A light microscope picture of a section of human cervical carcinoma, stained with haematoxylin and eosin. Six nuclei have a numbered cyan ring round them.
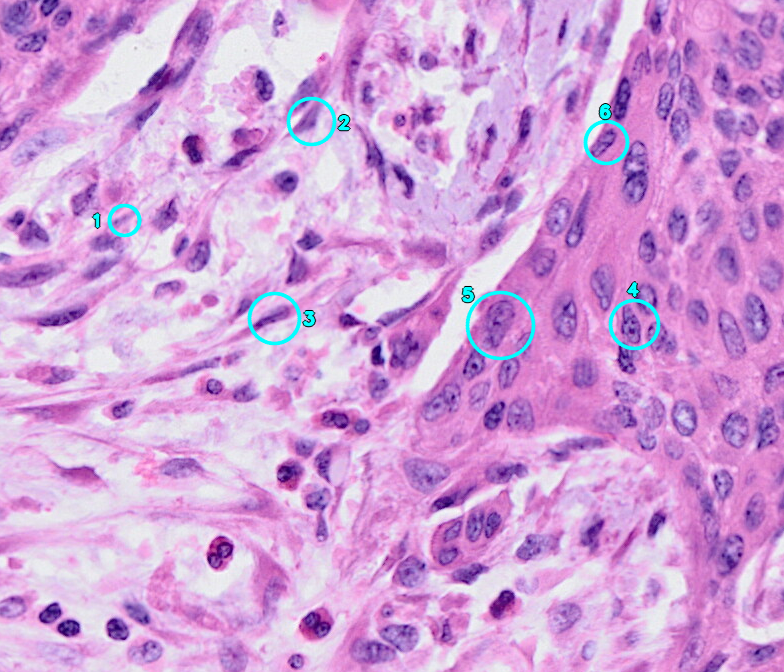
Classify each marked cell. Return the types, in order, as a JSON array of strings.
["fibroblast", "fibroblast", "fibroblast", "squamous carcinoma cell", "squamous carcinoma cell", "squamous carcinoma cell"]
